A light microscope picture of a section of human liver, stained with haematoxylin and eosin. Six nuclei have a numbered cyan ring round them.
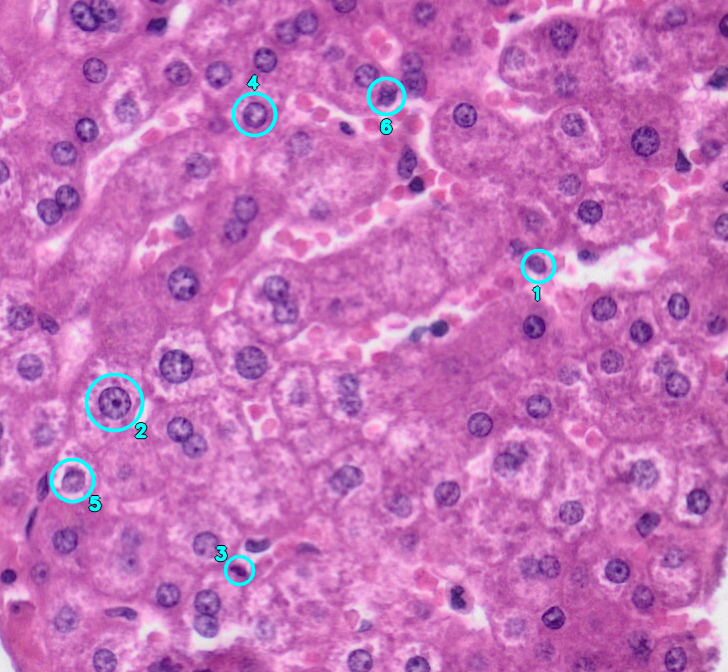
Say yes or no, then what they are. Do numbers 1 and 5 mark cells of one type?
No, cell 1 is a Kupffer cell, and cell 5 is, by contrast, a hepatocyte.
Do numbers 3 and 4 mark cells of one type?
No, cell 3 is classed as a fibroblast or stellate cell and cell 4 as a hepatocyte.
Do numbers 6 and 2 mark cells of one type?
No, cell 6 is a fibroblast or stellate cell, while a hepatocyte is what cell 2 is.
